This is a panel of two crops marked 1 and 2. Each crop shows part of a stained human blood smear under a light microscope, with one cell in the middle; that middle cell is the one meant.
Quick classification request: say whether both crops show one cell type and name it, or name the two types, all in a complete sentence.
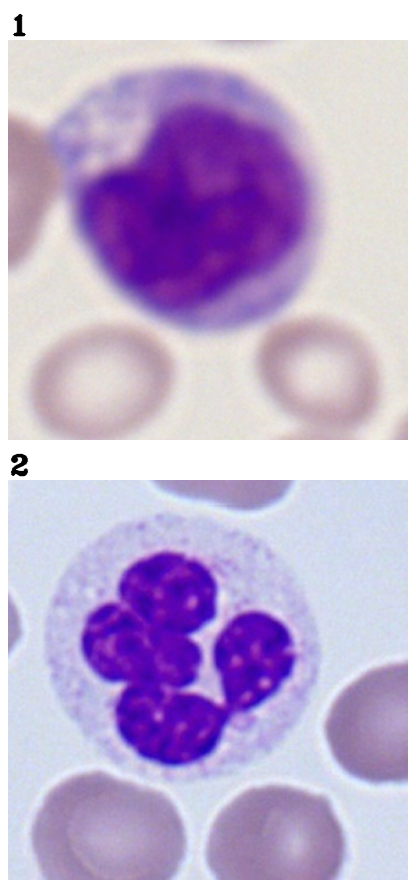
No, shown in crop 1 is a monocyte, and shown in crop 2 is a neutrophil.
